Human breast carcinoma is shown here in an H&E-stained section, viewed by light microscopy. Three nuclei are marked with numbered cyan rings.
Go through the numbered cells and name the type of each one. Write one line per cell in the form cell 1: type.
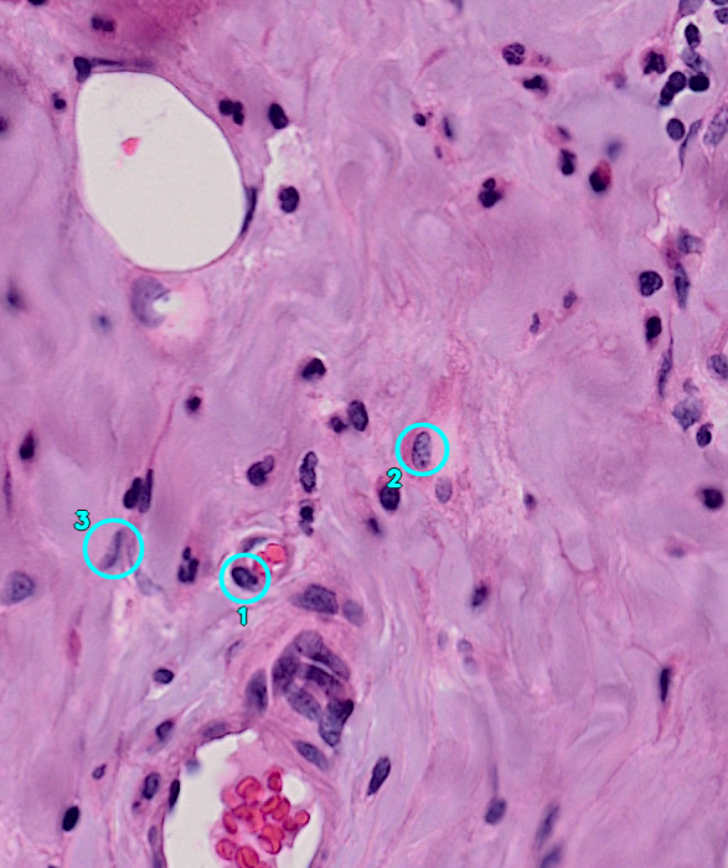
cell 1: endothelial cell
cell 2: mast cell
cell 3: fibroblast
